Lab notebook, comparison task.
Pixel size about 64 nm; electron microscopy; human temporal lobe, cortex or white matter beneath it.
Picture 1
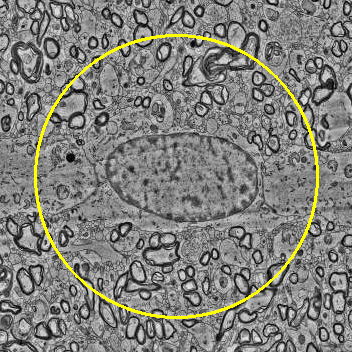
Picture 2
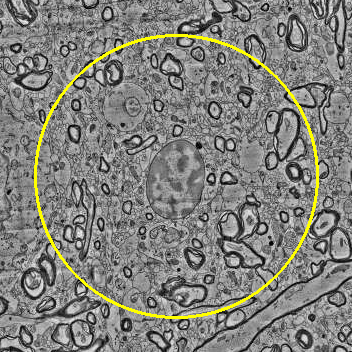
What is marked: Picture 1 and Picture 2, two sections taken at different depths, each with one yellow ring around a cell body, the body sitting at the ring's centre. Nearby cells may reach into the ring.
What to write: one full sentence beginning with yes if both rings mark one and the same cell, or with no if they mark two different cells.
No, in this micrograph the two rings mark two different cells.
